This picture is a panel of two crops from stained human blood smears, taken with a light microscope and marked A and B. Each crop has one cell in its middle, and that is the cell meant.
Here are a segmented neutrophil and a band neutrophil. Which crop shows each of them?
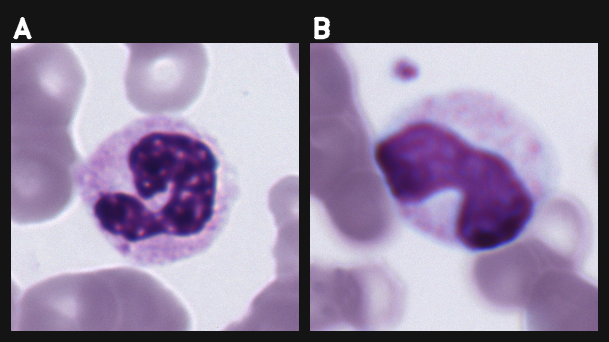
A: segmented neutrophil
B: band neutrophil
